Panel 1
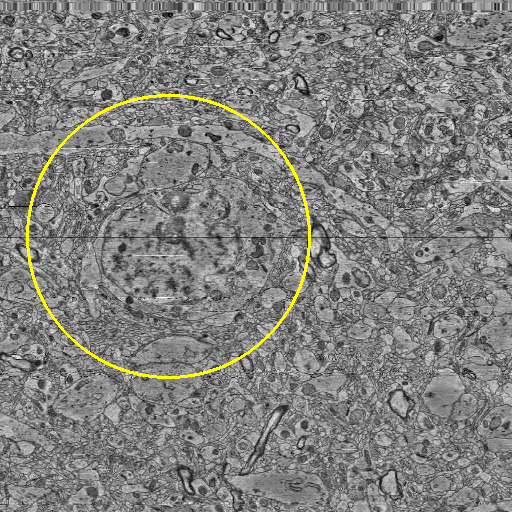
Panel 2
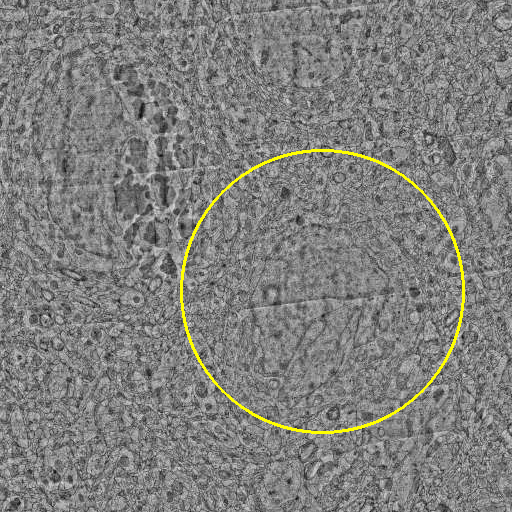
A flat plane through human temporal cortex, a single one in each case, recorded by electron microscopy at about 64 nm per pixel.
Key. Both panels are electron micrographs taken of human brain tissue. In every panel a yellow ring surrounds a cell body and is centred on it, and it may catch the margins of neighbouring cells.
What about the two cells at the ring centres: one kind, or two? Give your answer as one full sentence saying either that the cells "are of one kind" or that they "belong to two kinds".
Across Panels 1 and 2, the two cells at the ring centres are of one kind.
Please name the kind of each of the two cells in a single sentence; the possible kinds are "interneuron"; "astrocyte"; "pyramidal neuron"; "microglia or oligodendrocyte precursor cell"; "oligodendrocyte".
The second cell is an interneuron, just as the first is.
